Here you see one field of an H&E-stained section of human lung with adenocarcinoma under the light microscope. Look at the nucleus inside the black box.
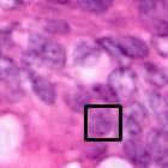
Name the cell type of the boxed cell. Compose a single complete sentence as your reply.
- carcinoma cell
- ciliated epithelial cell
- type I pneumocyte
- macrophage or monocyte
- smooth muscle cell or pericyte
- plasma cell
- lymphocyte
In this field of tissue, the boxed cell is a ciliated epithelial cell.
